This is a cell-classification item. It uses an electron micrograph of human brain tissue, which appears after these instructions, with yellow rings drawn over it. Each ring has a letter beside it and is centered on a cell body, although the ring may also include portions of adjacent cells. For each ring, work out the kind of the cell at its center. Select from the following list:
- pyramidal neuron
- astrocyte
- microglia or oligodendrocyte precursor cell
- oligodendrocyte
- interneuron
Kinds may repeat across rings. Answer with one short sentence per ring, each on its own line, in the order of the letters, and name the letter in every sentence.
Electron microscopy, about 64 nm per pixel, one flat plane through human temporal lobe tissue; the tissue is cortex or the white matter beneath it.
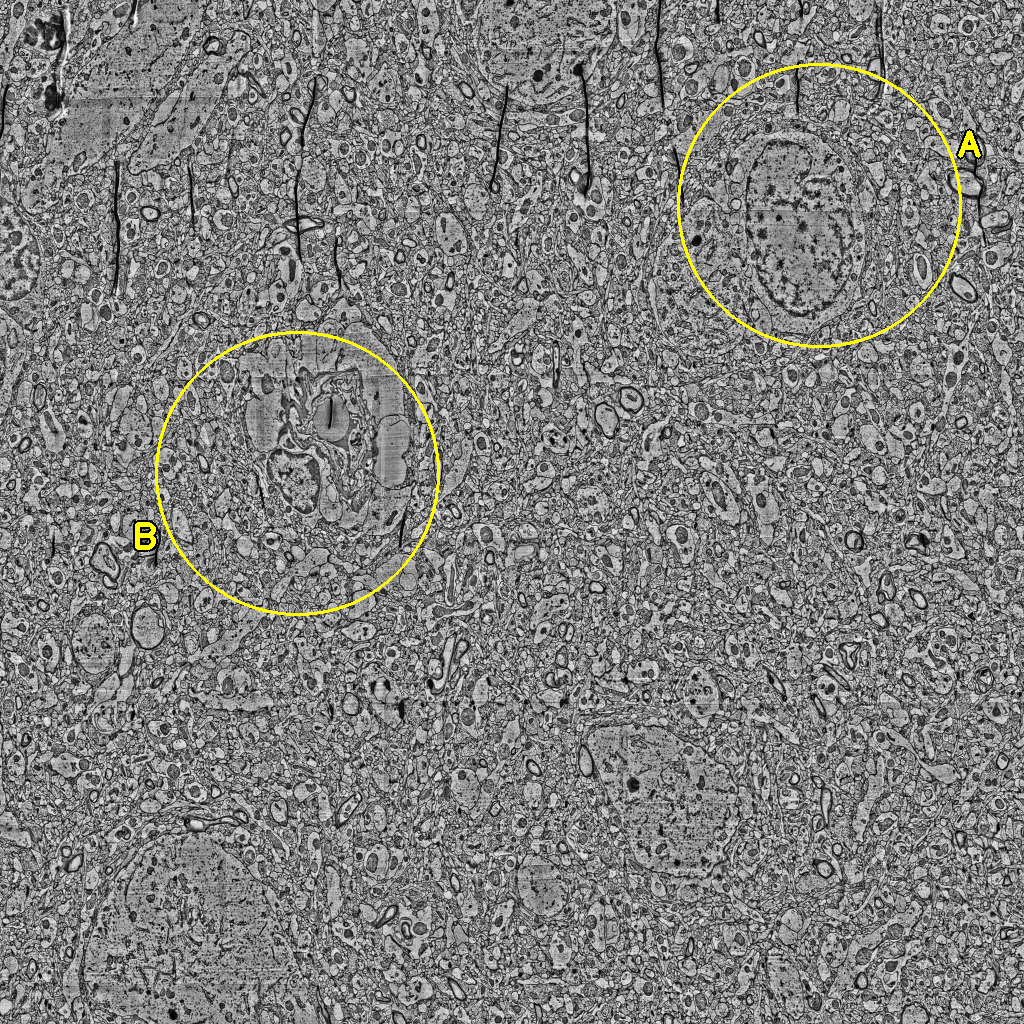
Ring A has an interneuron at its center.
Ring B has a microglial cell or oligodendrocyte precursor cell at its center.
